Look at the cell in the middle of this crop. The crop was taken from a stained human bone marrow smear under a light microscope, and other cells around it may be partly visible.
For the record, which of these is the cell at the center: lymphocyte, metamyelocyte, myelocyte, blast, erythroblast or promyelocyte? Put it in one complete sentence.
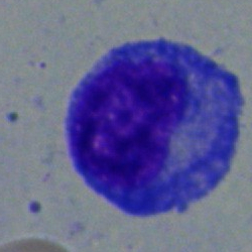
Here the centrally located cell is a promyelocyte.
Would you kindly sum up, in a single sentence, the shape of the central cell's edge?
The cell shows an uneven border, formed by ragged areas or by outward projections.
